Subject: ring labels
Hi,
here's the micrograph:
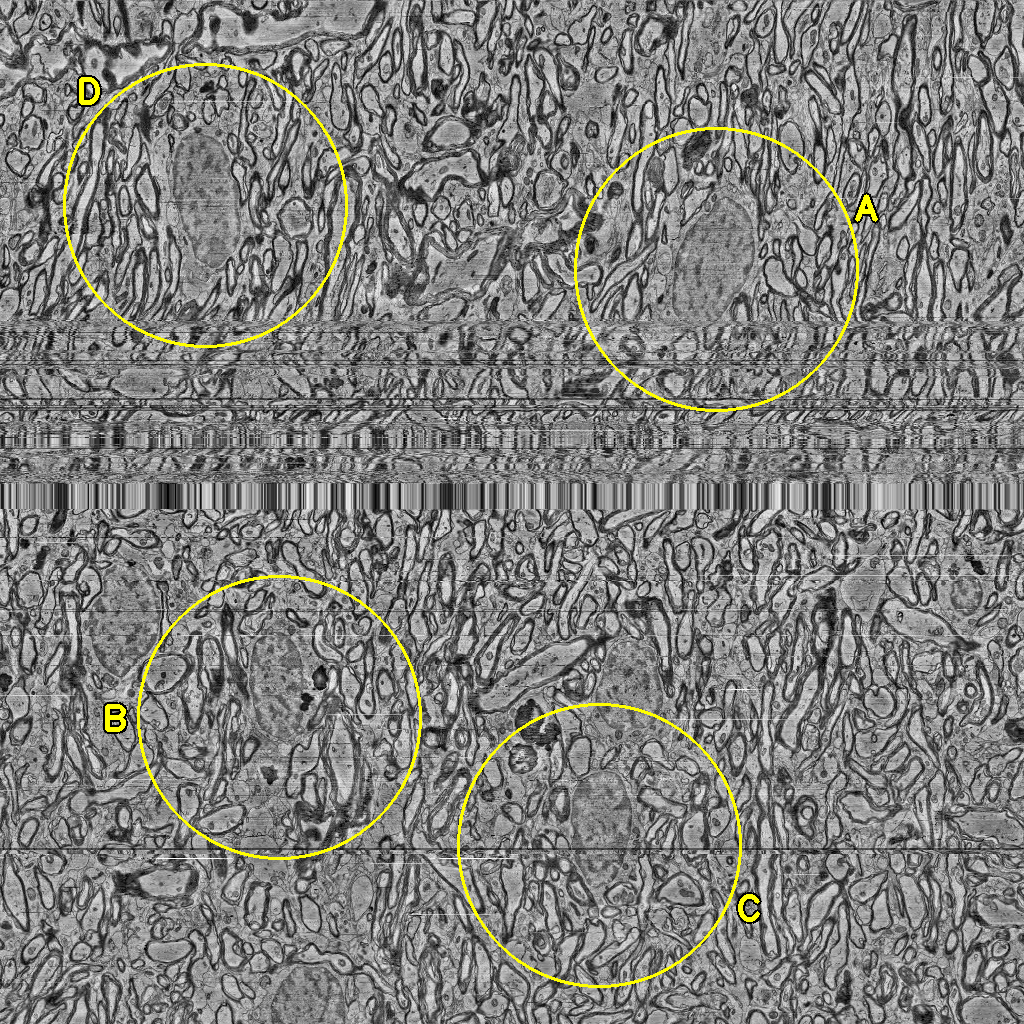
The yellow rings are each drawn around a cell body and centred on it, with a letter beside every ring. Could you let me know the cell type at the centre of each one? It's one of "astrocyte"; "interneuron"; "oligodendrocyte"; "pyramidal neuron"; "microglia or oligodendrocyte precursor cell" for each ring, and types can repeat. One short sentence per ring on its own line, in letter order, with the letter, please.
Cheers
The type at the centre of ring A is an oligodendrocyte.
The type at the centre of ring B is an oligodendrocyte.
The type at the centre of ring C is an oligodendrocyte.
The type at the centre of ring D is an oligodendrocyte.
